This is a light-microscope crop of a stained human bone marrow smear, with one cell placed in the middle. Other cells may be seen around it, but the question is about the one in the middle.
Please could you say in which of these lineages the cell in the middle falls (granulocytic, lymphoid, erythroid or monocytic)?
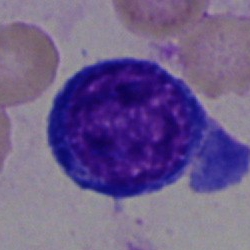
erythroid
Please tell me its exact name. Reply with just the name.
proerythroblast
